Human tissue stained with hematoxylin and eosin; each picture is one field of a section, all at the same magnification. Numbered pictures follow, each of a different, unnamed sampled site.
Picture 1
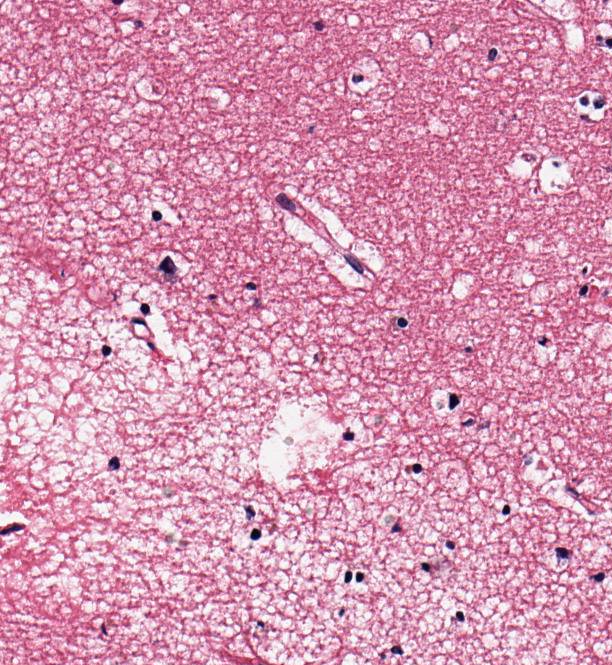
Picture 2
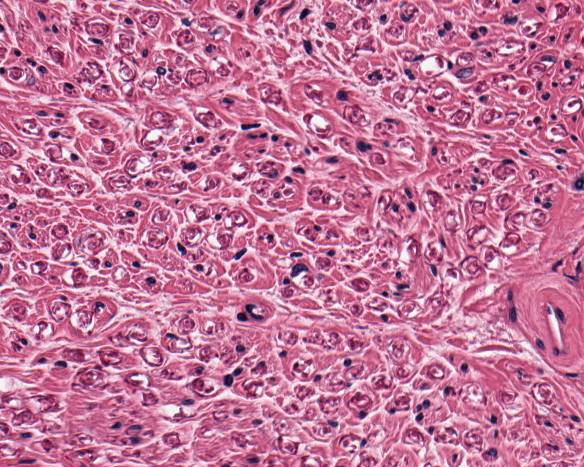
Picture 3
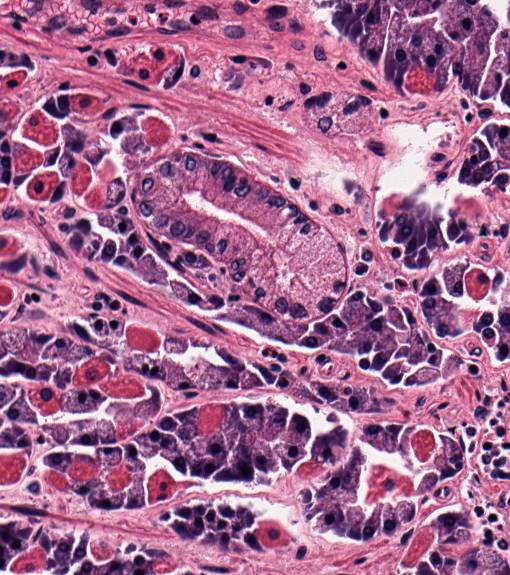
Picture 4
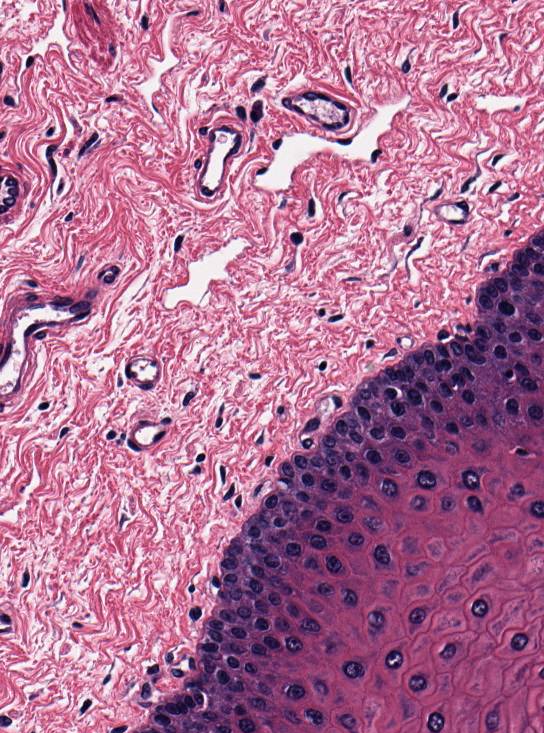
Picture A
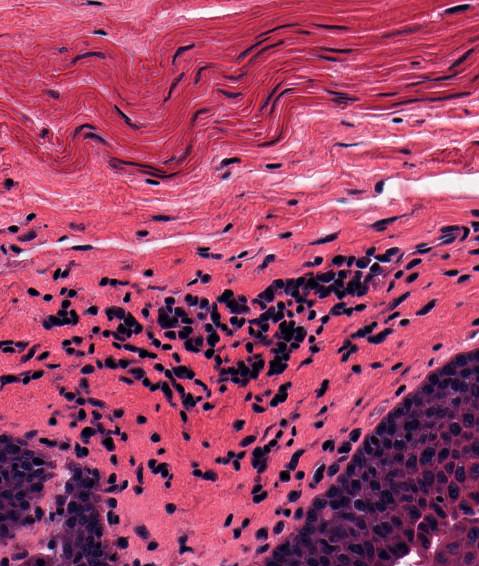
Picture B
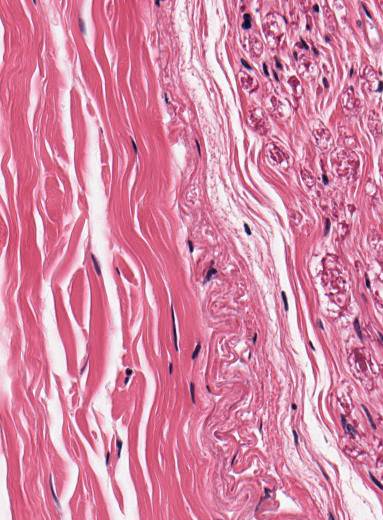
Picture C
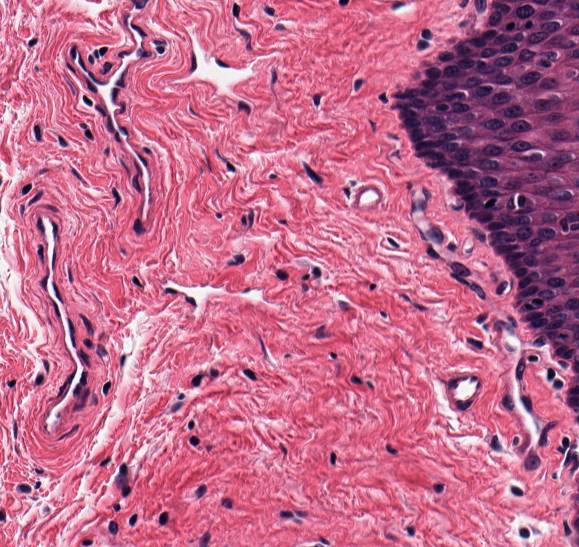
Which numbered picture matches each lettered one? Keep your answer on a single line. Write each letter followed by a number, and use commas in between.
A 4, B 2, C 4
